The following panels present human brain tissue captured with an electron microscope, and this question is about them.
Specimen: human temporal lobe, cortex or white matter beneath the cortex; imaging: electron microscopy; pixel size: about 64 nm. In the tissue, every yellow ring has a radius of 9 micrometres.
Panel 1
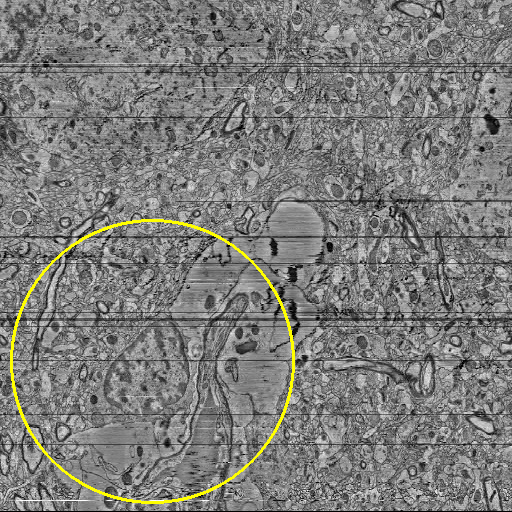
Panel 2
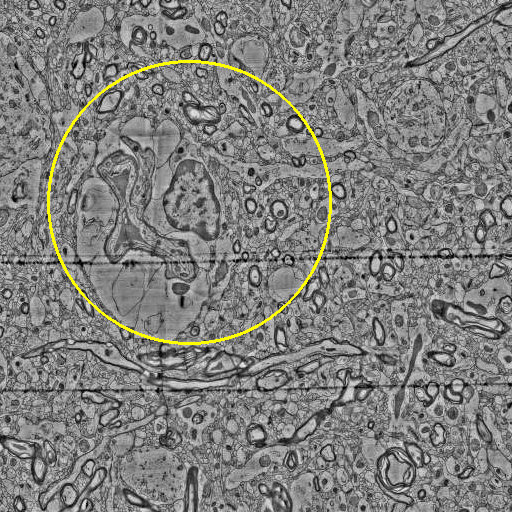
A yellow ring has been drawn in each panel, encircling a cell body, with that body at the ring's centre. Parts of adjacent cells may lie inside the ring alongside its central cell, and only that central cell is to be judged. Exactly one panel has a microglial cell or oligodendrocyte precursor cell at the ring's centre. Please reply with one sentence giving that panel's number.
The ring whose central cell fits the description is the one in panel 2.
